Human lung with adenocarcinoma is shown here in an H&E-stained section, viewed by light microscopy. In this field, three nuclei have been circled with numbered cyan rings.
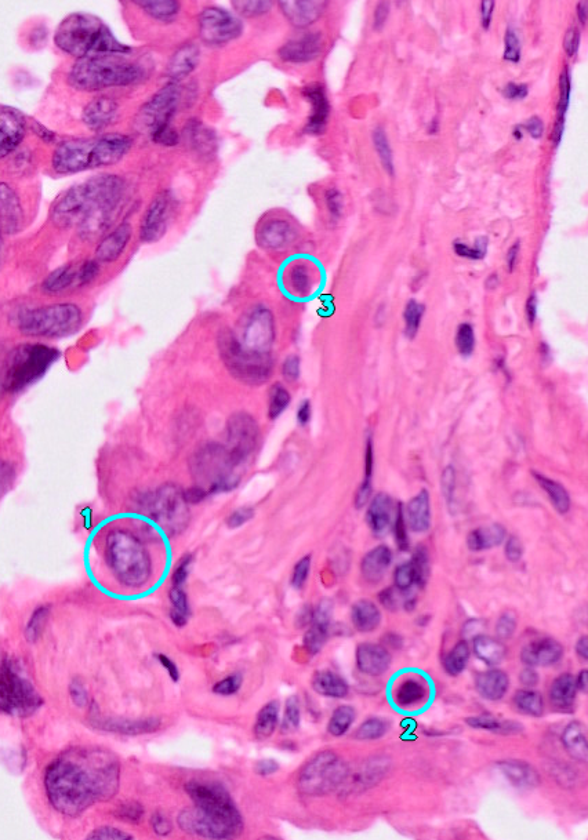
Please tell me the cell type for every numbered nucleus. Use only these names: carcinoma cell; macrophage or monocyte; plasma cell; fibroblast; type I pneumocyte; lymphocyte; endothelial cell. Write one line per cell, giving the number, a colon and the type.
1: carcinoma cell
2: plasma cell
3: carcinoma cell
